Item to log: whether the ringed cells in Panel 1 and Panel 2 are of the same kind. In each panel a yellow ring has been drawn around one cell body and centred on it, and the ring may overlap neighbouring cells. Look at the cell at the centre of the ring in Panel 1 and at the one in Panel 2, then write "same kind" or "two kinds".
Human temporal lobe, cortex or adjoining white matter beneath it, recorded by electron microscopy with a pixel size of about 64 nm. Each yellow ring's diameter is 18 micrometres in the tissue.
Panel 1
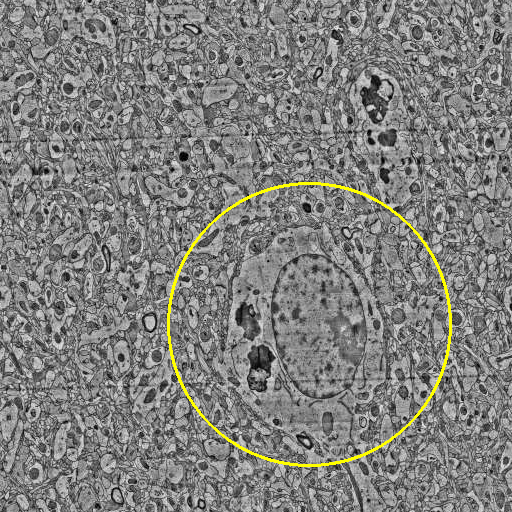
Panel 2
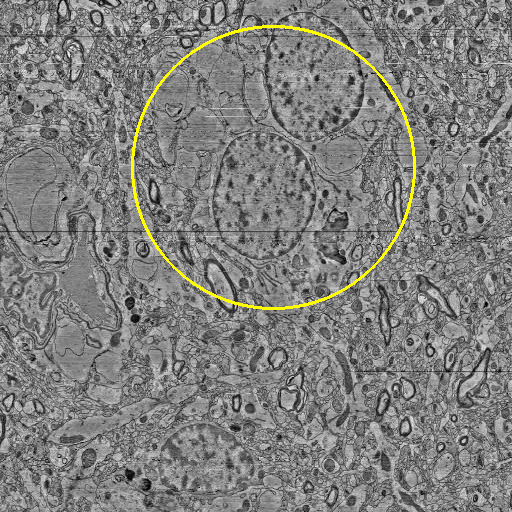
same kind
